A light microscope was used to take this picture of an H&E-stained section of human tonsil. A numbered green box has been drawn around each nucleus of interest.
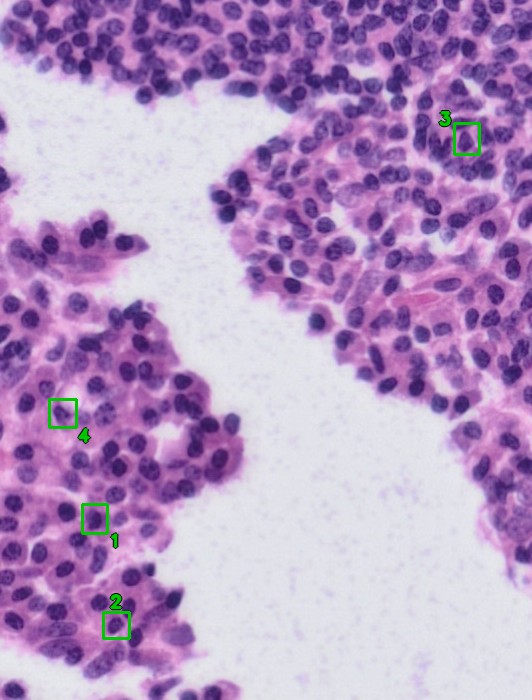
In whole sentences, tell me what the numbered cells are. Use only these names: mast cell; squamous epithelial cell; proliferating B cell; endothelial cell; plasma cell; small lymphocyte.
Cell 1 is a plasma cell, cell 2 is a plasma cell, cell 3 is a small lymphocyte and cell 4 is a plasma cell.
